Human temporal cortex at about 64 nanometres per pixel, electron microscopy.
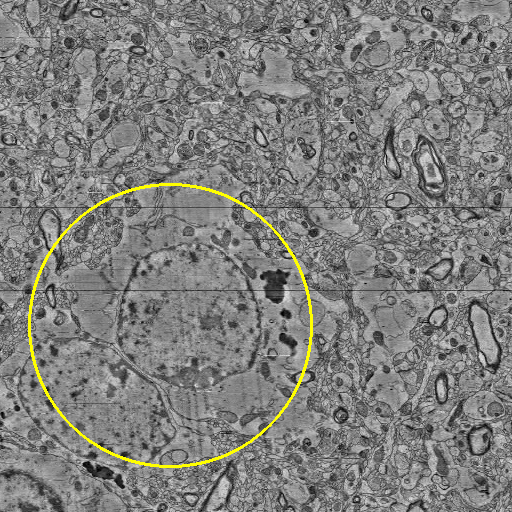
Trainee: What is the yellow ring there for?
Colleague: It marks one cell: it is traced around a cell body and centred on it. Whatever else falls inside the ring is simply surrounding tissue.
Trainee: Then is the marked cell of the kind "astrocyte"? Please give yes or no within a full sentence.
Yes, the marked cell at the centre of the yellow ring is of the kind asked about.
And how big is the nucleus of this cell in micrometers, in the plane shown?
The nucleus measures about 10 micrometers across in this plane.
